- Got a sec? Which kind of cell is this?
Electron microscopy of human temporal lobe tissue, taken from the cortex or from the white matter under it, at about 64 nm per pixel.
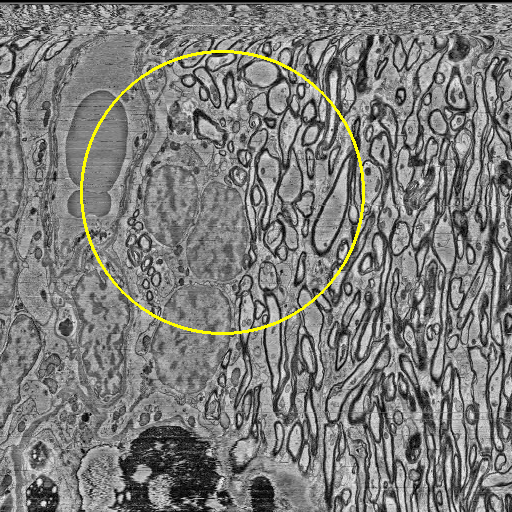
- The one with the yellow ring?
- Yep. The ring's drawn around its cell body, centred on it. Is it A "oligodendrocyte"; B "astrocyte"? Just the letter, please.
A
